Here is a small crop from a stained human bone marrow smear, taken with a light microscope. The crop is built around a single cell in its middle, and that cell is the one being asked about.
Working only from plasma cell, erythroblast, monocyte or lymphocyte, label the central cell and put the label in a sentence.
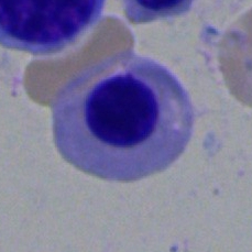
The cell in the exact centre of the crop is an erythroblast.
